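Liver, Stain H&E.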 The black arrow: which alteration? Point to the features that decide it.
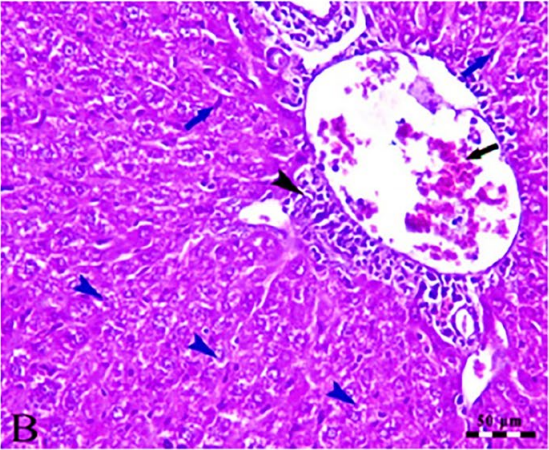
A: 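A large round vessel lumen contains clumps of red-staining blood. On this evidence: congestion of hepatic blood vessels.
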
